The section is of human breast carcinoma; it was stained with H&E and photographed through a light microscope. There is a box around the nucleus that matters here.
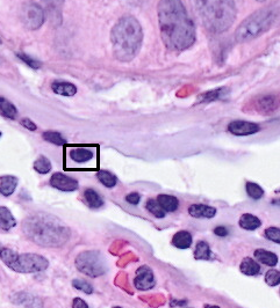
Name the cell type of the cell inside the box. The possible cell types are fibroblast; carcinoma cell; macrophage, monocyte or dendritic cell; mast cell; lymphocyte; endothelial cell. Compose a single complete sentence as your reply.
It is a lymphocyte that the cell inside the box represents.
